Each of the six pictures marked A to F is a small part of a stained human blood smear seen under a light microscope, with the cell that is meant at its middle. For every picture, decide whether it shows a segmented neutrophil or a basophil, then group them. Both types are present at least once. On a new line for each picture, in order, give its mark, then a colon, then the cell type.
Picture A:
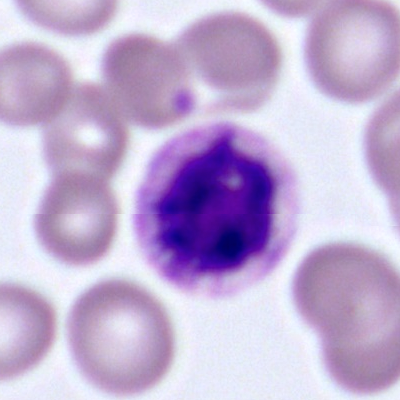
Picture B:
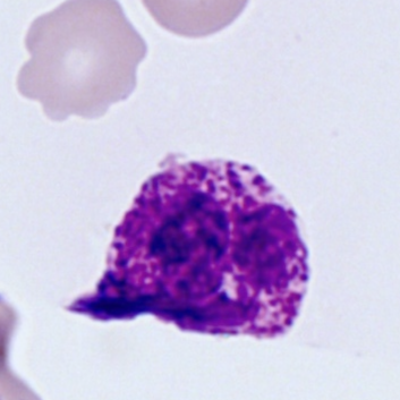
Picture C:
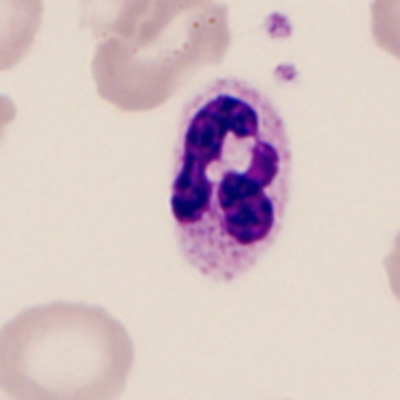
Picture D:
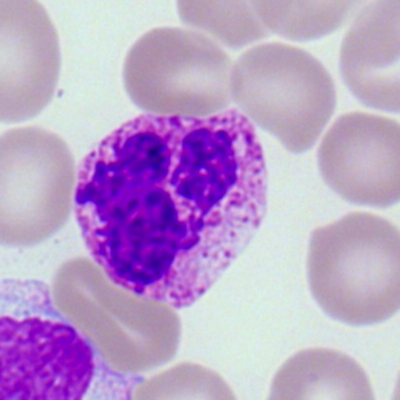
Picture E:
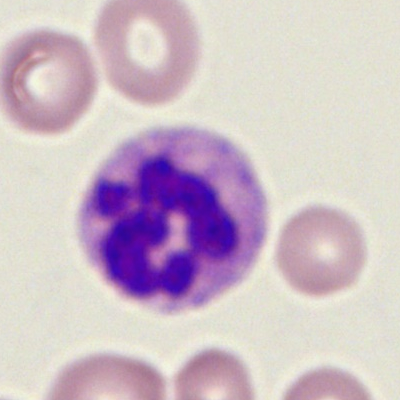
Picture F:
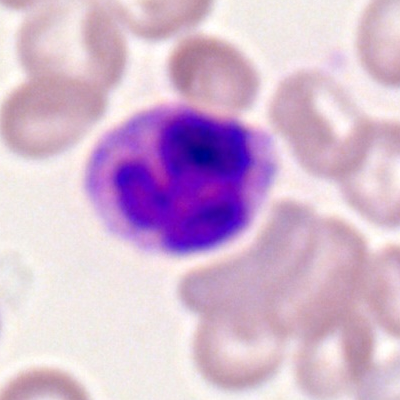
A: basophil
B: basophil
C: segmented neutrophil
D: basophil
E: segmented neutrophil
F: basophil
